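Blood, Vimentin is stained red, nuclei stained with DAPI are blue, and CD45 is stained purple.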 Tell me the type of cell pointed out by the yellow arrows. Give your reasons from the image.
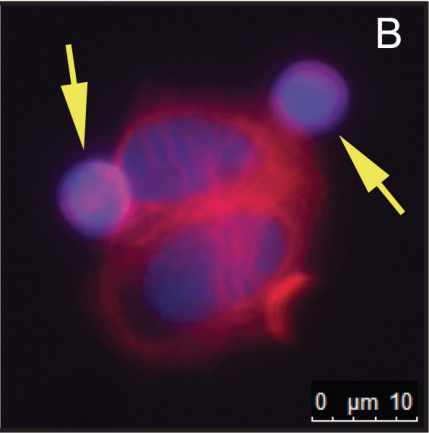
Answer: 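Lymphocytes. The marked cells are small, round and purplish. They sit at the edge of a larger red-stained cell. They show no red filamentous cytoplasm.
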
